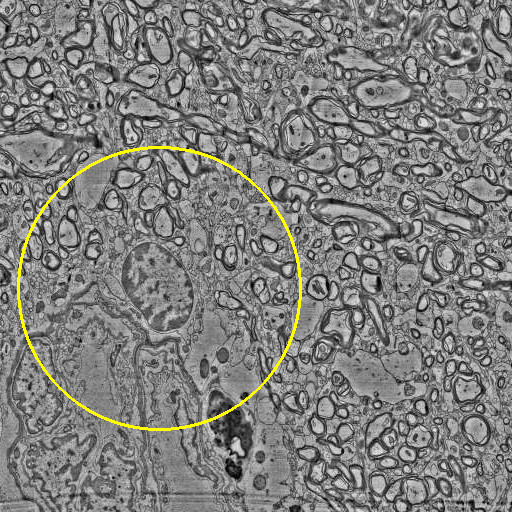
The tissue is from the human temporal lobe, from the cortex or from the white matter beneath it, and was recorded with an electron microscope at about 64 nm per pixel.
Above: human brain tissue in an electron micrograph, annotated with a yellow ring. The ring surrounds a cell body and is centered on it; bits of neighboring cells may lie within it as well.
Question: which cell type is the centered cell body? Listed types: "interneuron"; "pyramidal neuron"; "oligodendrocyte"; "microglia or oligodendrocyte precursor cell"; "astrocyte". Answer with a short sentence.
The centered cell body is a microglial cell or oligodendrocyte precursor cell.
